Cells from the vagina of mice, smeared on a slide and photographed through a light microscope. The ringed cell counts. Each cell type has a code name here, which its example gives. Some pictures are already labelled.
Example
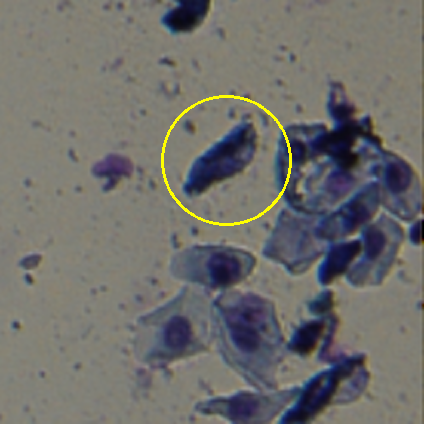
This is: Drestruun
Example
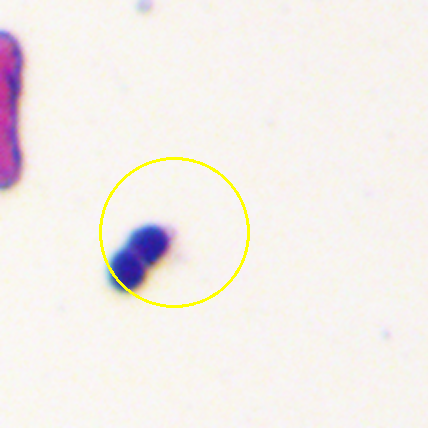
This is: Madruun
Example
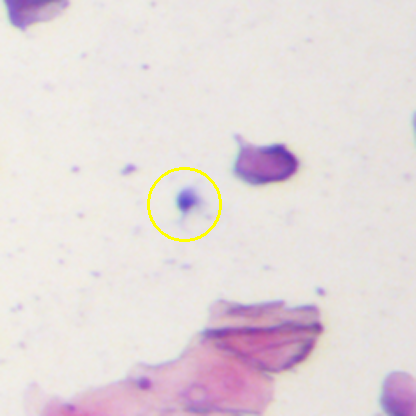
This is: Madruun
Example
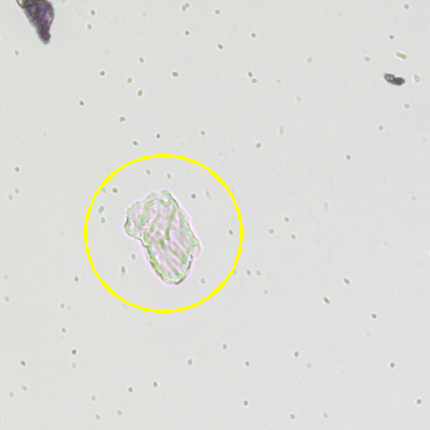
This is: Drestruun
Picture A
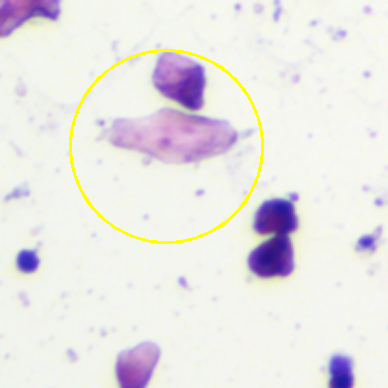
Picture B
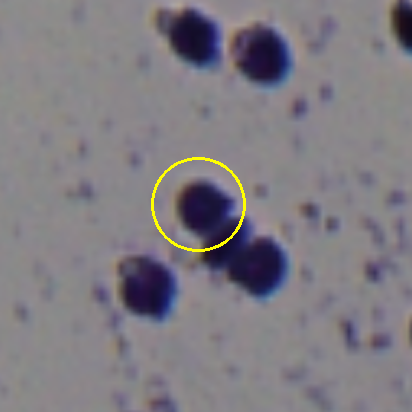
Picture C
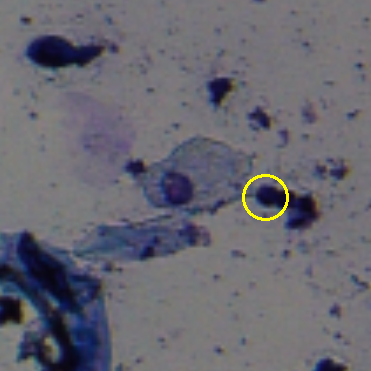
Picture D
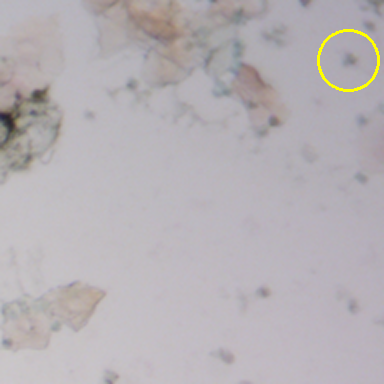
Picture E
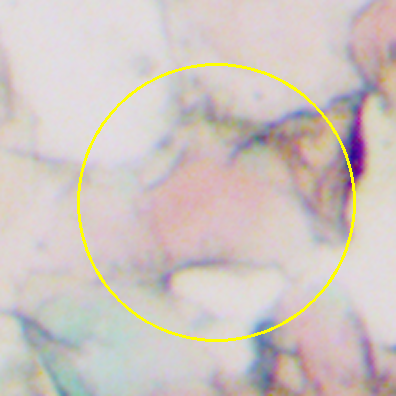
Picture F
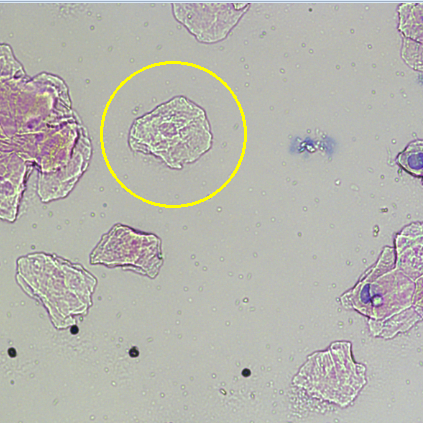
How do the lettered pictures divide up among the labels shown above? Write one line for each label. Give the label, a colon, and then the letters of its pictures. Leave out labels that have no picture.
Drestruun: A, E, F
Madruun: B, C, D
